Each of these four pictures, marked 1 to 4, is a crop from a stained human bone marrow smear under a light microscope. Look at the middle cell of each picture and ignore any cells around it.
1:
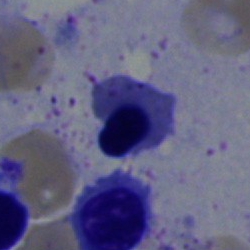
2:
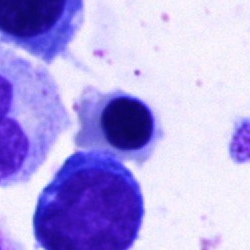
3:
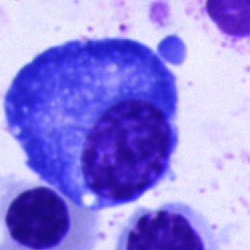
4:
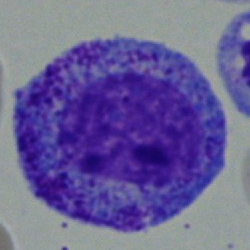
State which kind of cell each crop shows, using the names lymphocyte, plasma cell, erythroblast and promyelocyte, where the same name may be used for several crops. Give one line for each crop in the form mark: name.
1: erythroblast
2: erythroblast
3: plasma cell
4: promyelocyte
